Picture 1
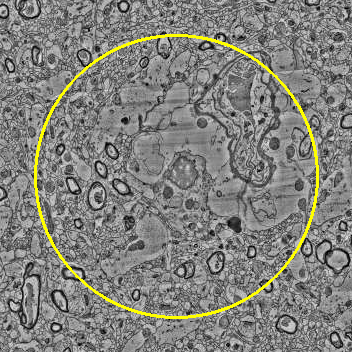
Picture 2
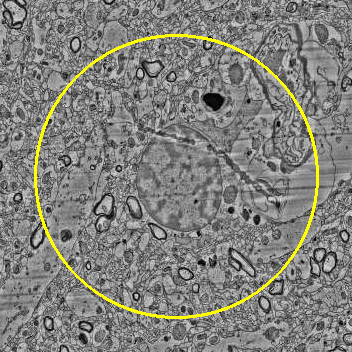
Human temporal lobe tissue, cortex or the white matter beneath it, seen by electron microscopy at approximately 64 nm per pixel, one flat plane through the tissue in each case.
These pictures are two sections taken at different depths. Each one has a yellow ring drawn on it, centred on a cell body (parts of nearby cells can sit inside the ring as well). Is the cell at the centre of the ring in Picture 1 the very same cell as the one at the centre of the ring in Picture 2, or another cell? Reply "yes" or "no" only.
yes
